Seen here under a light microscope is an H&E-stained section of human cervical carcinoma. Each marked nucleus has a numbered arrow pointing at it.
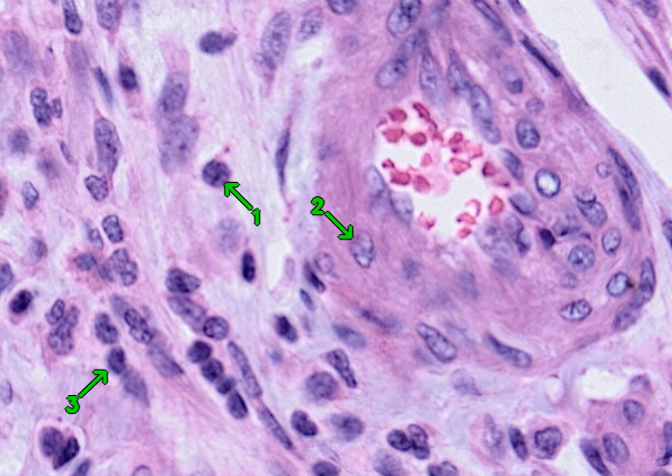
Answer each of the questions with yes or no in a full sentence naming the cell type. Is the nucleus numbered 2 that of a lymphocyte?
No, number 2 is not a lymphocyte; it is a smooth muscle cell.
